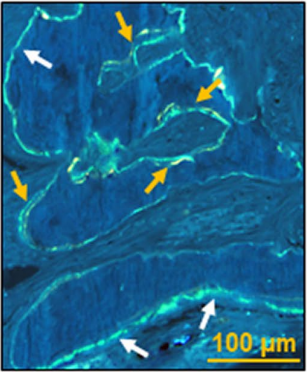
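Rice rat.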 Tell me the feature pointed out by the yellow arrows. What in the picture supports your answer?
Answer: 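Double-labels. The arrows point to two parallel bright fluorescent lines along bone surfaces. The two lines are separated by a narrow gap.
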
